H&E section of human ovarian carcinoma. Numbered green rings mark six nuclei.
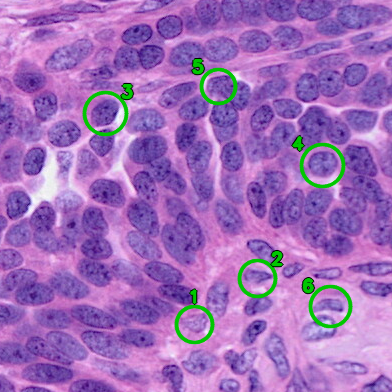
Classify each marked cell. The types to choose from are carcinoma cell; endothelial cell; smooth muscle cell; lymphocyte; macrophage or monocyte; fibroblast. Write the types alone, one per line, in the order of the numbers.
fibroblast
fibroblast
carcinoma cell
carcinoma cell
carcinoma cell
fibroblast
